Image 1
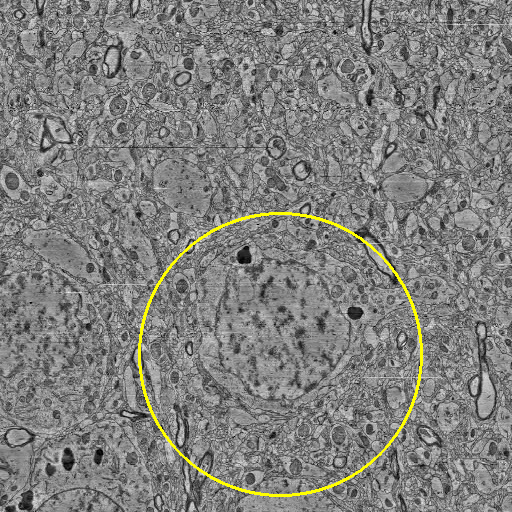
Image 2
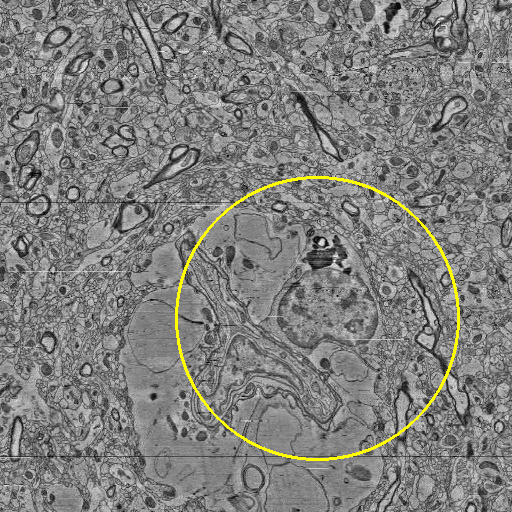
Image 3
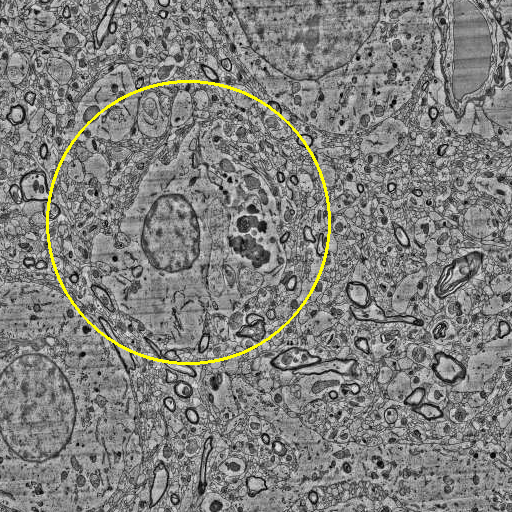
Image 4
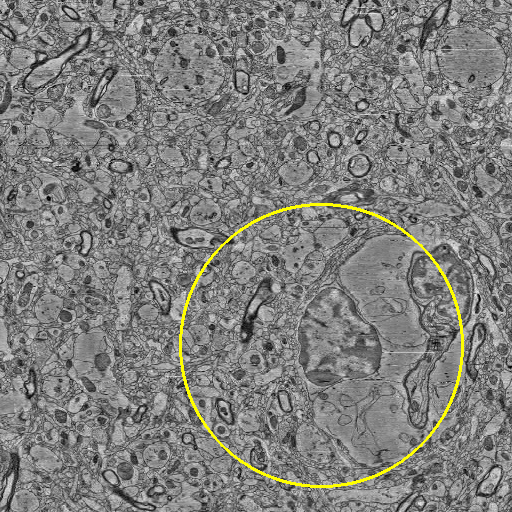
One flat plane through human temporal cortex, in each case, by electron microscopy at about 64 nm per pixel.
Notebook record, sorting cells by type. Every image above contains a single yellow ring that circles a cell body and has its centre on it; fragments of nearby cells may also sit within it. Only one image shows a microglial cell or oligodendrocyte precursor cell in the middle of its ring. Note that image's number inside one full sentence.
For image 4, the cell in the middle of its yellow ring is the match.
